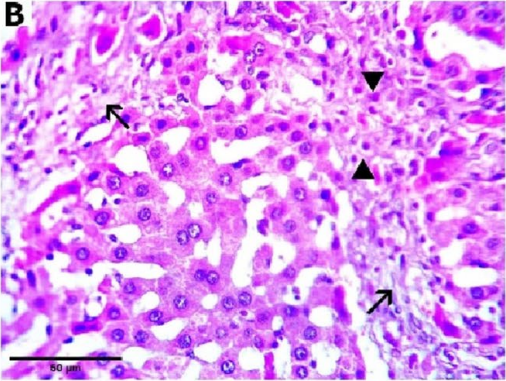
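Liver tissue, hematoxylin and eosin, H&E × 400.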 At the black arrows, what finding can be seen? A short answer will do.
septal fibrosis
